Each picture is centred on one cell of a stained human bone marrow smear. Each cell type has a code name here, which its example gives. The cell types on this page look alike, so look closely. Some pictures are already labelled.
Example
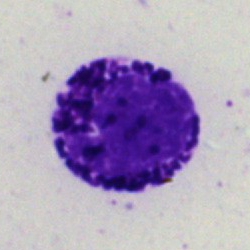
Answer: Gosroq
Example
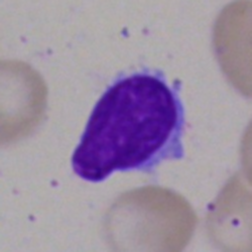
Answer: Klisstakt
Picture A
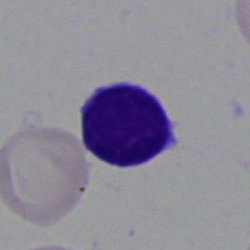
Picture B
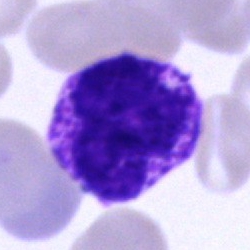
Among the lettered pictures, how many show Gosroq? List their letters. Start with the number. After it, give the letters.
1: B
